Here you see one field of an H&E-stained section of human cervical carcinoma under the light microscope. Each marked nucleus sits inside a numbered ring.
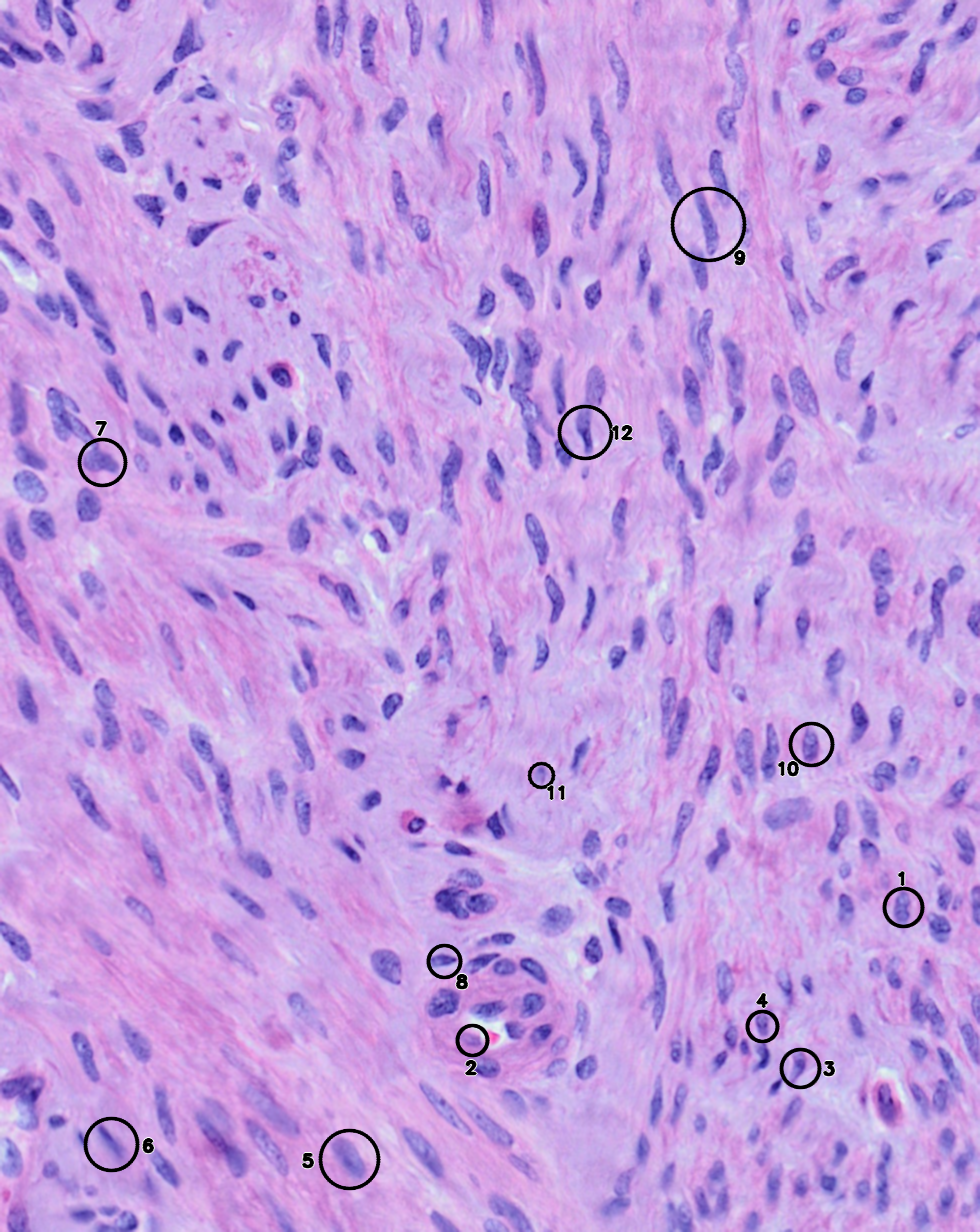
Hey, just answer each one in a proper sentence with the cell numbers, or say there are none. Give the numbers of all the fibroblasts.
Cells 5, 6, 7, 8, 9 and 12 in the section are typed as fibroblasts.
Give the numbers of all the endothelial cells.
Being an endothelial cell is true of cell 2 and of no other numbered cell.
